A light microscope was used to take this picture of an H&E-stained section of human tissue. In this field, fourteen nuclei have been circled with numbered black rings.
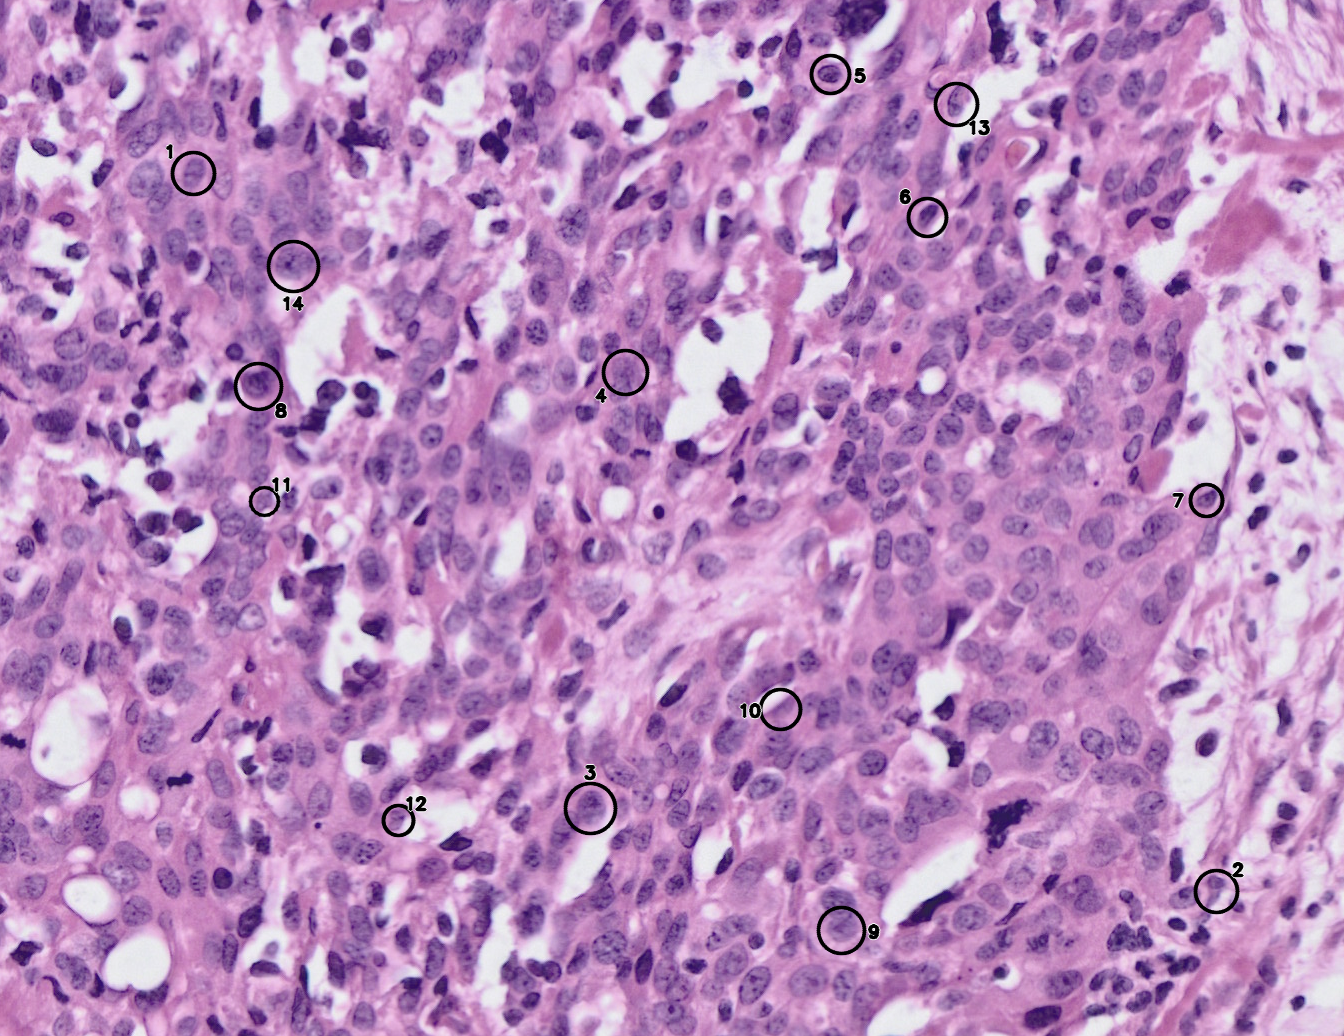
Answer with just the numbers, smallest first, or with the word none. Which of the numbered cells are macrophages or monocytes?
2, 5, 6, 7, 12, 13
